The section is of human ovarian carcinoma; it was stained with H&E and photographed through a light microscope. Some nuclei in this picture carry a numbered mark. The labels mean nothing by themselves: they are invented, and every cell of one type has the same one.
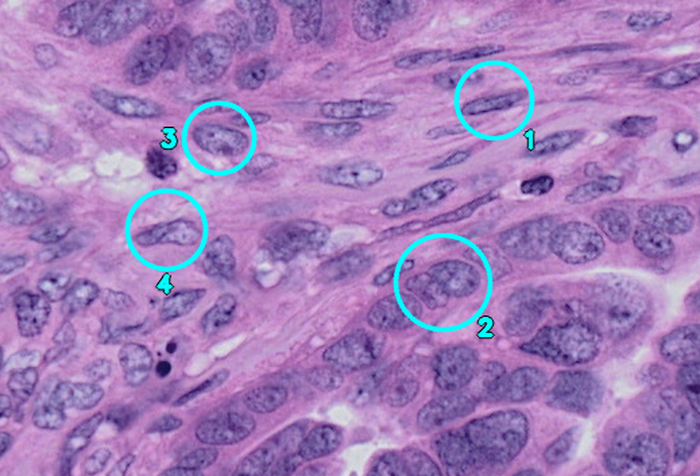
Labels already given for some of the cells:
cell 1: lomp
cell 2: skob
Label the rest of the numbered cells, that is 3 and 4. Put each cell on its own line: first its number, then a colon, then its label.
3: lomp
4: lomp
